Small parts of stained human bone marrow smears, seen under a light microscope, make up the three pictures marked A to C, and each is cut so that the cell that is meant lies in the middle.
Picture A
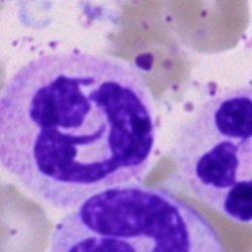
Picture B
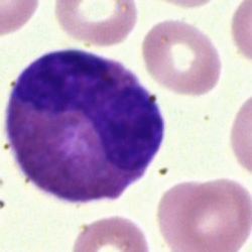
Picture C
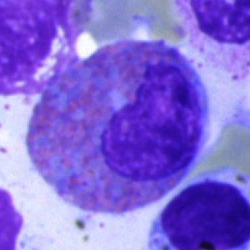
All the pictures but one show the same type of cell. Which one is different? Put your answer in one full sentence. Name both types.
The others show eosinophils, but picture A shows a segmented neutrophil.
